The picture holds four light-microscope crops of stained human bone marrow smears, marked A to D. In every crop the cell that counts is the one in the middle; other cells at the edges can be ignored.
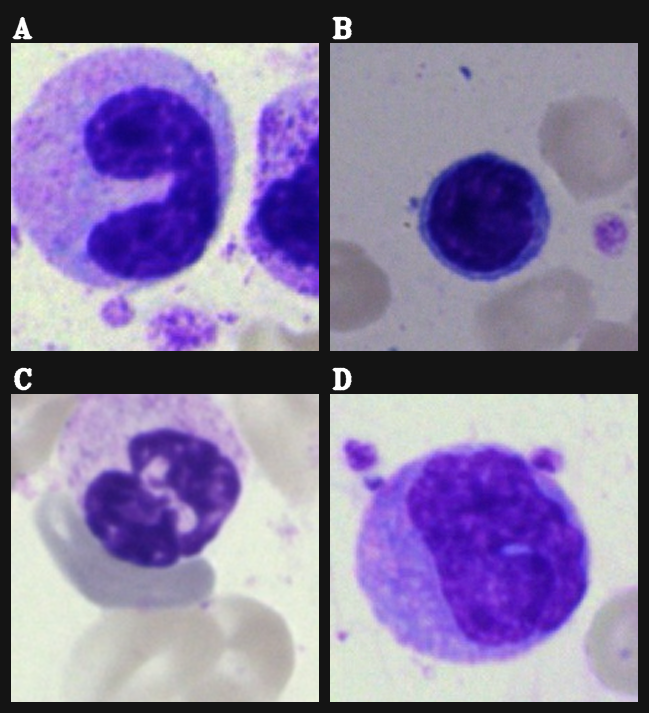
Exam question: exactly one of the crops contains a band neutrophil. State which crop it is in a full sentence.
Of the labeled crops, the one with a band neutrophil is crop A.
